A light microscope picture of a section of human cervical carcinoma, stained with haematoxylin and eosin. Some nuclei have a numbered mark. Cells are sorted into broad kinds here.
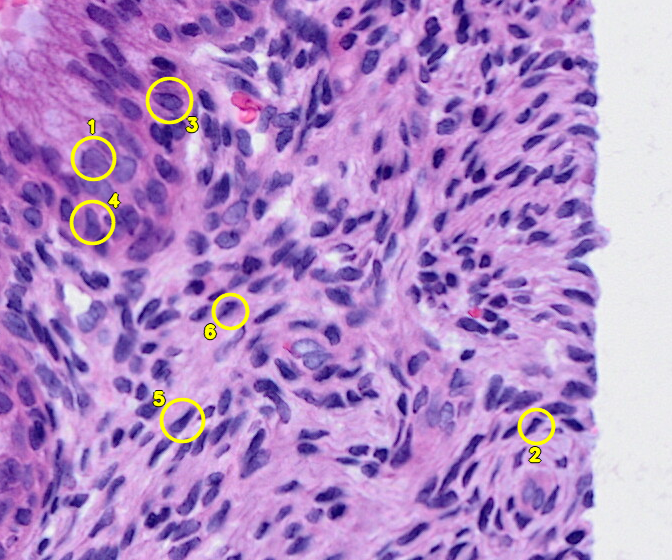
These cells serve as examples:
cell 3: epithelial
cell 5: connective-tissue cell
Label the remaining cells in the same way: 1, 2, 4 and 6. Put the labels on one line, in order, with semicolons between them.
epithelial; connective-tissue cell; epithelial; connective-tissue cell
